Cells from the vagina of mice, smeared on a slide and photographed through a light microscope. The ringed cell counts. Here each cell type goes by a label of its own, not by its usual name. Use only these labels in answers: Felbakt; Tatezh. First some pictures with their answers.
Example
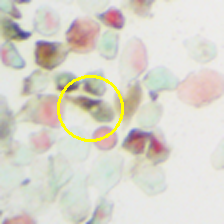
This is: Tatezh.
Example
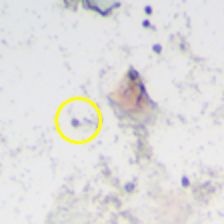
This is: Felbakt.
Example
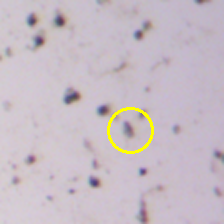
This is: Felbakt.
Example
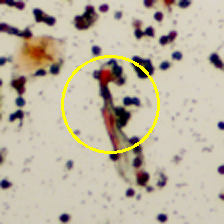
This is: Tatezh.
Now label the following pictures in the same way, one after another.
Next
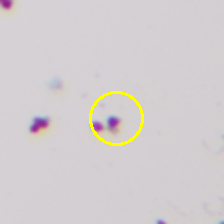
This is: Felbakt.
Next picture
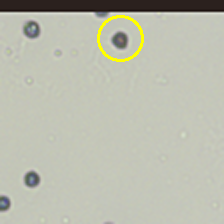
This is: Felbakt.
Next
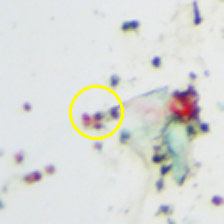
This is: Felbakt.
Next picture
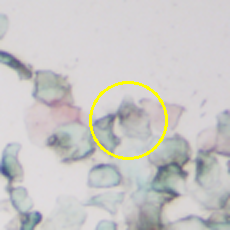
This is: Tatezh.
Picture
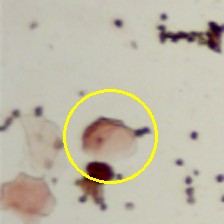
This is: Tatezh.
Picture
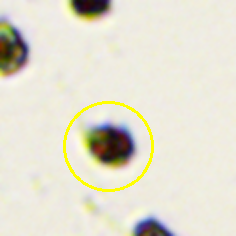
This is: Felbakt.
